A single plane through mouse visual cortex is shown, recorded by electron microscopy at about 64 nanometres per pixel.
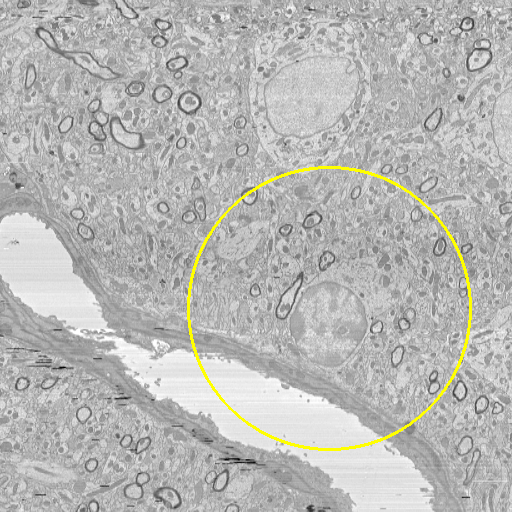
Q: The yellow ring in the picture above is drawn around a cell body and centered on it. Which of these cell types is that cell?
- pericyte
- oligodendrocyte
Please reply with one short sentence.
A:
The cell body at the ring's center belongs to an oligodendrocyte.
